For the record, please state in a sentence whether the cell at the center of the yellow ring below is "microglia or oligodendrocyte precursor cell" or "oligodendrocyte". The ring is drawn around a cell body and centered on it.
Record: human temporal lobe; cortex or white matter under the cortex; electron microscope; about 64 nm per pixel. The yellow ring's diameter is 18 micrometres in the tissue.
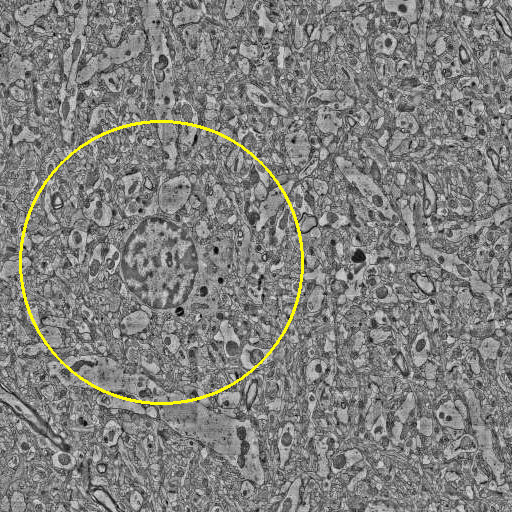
The cell at the ring's center is an oligodendrocyte.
